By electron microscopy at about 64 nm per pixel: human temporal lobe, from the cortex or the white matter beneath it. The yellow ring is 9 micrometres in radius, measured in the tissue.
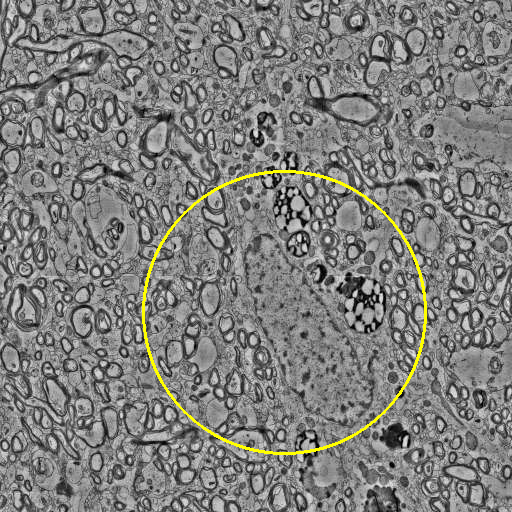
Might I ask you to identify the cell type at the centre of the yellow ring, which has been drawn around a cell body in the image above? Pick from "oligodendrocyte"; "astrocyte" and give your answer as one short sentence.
The centre of the ring falls on an astrocyte.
